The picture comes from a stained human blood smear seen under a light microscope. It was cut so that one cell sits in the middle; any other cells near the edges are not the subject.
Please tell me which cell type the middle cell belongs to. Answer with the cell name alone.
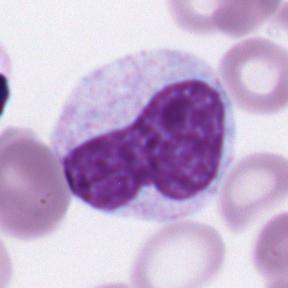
band neutrophil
